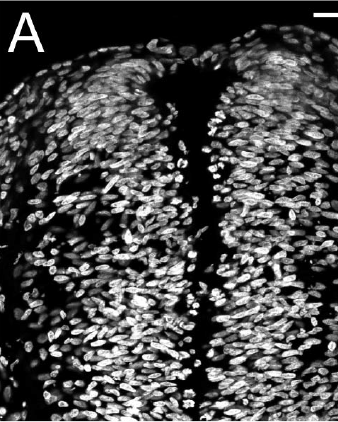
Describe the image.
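The tube is bilaterally symmetric around a narrow, slit-like central lumen running dorsoventrally along the midline. Its wall is a thick, densely packed neuroepithelium in which elongated nuclei are stacked in radially oriented columns, their long axes pointing toward the lumen. Toward the outer edges the nuclei become rounder and less regularly arranged, and the tissue surrounding the tube laterally contains more loosely scattered nuclei.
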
